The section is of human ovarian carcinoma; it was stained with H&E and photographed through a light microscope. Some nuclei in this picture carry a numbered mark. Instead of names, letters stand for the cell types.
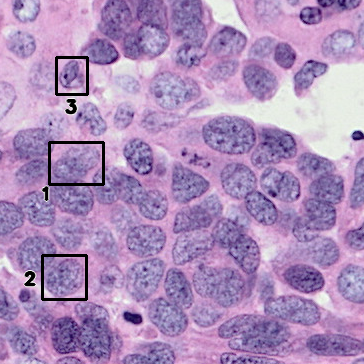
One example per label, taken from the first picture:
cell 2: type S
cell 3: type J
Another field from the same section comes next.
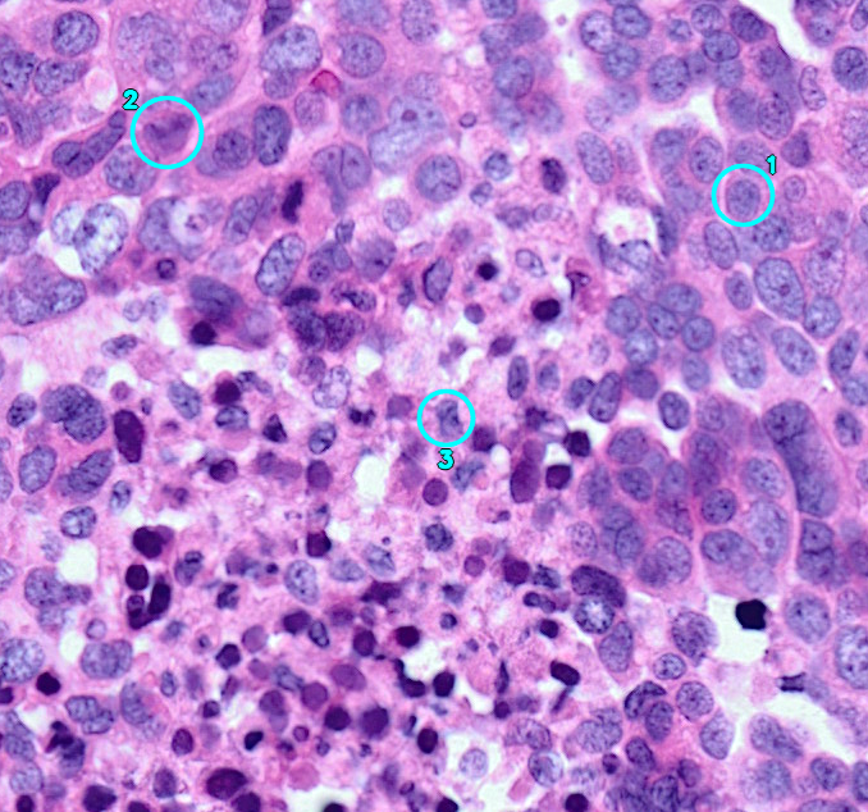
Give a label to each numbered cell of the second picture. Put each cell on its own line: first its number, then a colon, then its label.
1: type S
2: type S
3: type J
